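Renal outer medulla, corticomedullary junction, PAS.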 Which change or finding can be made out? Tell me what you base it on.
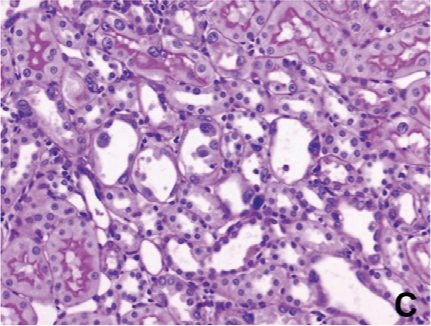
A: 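Tubular dilation. Several tubules have enlarged, clear lumens. Lining epithelial cells are lower than in intact tubules nearby.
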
